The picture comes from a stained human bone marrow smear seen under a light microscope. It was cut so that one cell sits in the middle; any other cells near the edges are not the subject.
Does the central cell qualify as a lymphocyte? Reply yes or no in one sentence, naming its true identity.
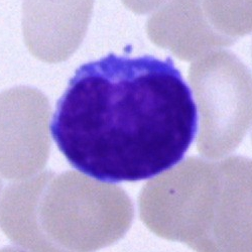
Yes, as regards the cell in the middle, it is a lymphocyte.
